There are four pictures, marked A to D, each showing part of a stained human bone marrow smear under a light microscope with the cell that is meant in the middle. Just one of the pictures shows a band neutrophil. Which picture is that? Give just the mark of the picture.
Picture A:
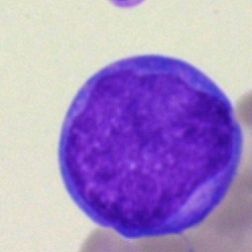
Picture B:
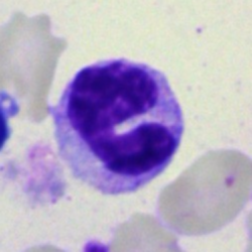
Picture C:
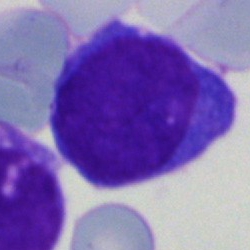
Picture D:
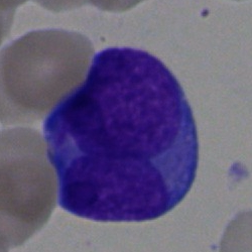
B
